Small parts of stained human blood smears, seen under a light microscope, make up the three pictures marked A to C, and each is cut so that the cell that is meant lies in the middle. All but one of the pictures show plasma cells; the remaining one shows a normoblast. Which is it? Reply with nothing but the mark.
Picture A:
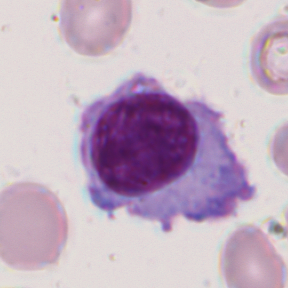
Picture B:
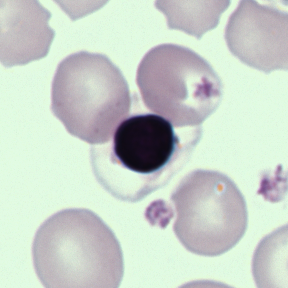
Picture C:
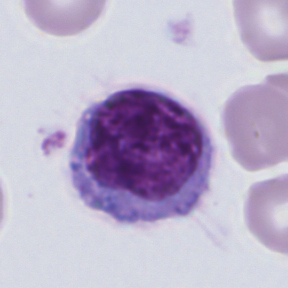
B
